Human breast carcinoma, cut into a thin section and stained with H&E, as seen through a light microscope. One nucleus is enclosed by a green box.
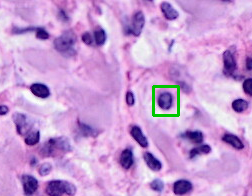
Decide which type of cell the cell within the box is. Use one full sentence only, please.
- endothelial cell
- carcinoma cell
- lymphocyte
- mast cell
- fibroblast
Assigned to a cell type, the cell within the box is a mast cell.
